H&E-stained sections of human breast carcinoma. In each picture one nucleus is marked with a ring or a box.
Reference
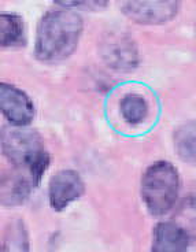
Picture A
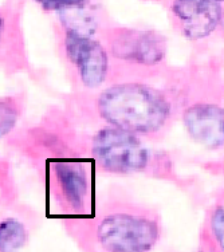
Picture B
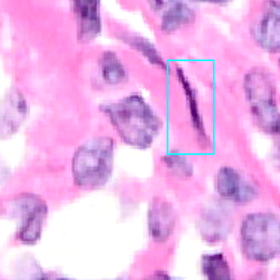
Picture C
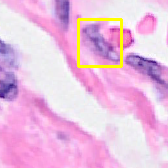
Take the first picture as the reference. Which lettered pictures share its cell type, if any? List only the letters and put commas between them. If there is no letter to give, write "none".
none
